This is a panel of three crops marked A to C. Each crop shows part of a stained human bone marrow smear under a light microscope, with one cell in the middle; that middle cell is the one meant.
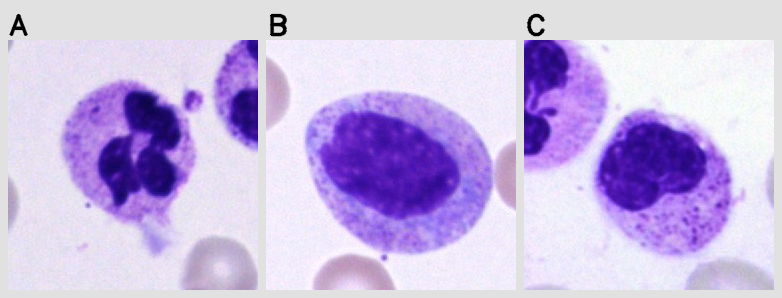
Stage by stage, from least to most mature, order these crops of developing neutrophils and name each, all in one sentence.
The sequence of maturity, beginning with the least mature, runs crop B (a myelocyte), crop C (a metamyelocyte) and crop A (a segmented neutrophil).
